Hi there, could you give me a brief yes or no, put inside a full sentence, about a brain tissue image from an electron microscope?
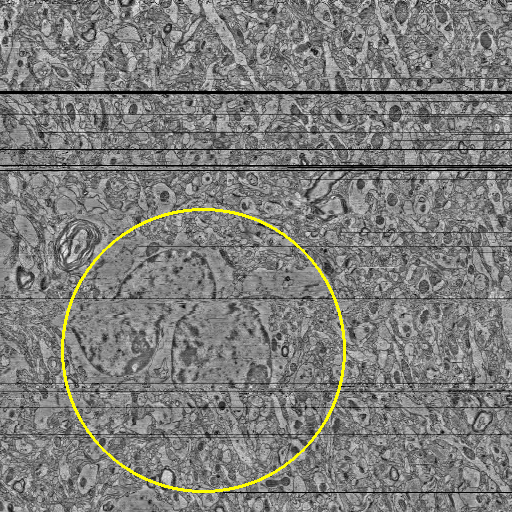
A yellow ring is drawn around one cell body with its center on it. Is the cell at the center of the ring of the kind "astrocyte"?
Yes, the cell found at the center of the yellow ring is of that kind.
